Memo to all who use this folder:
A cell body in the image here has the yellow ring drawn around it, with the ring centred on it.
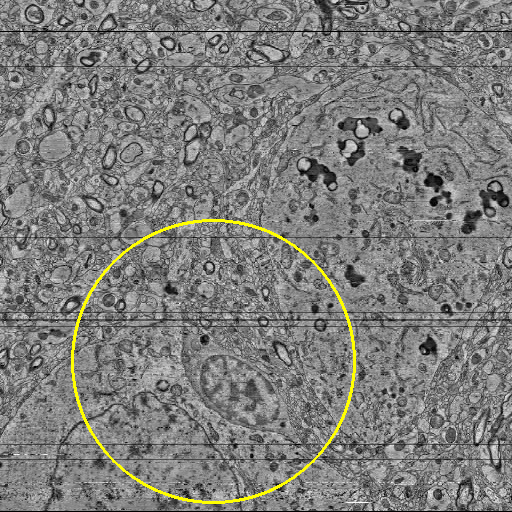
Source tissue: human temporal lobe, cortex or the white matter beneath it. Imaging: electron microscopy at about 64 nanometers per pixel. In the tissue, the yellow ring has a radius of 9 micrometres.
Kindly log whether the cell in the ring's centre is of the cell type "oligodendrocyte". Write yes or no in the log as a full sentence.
Yes, logged: the ring in this image is centred on a cell of that type.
